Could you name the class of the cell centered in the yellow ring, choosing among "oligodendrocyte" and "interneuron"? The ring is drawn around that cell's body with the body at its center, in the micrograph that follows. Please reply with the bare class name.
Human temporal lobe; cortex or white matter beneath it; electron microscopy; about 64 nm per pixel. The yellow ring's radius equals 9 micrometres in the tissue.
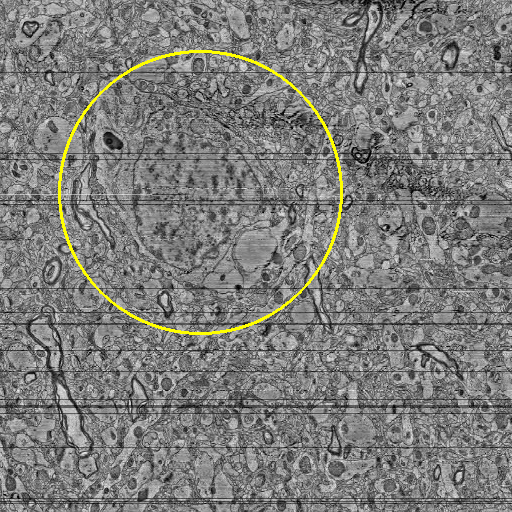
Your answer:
interneuron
